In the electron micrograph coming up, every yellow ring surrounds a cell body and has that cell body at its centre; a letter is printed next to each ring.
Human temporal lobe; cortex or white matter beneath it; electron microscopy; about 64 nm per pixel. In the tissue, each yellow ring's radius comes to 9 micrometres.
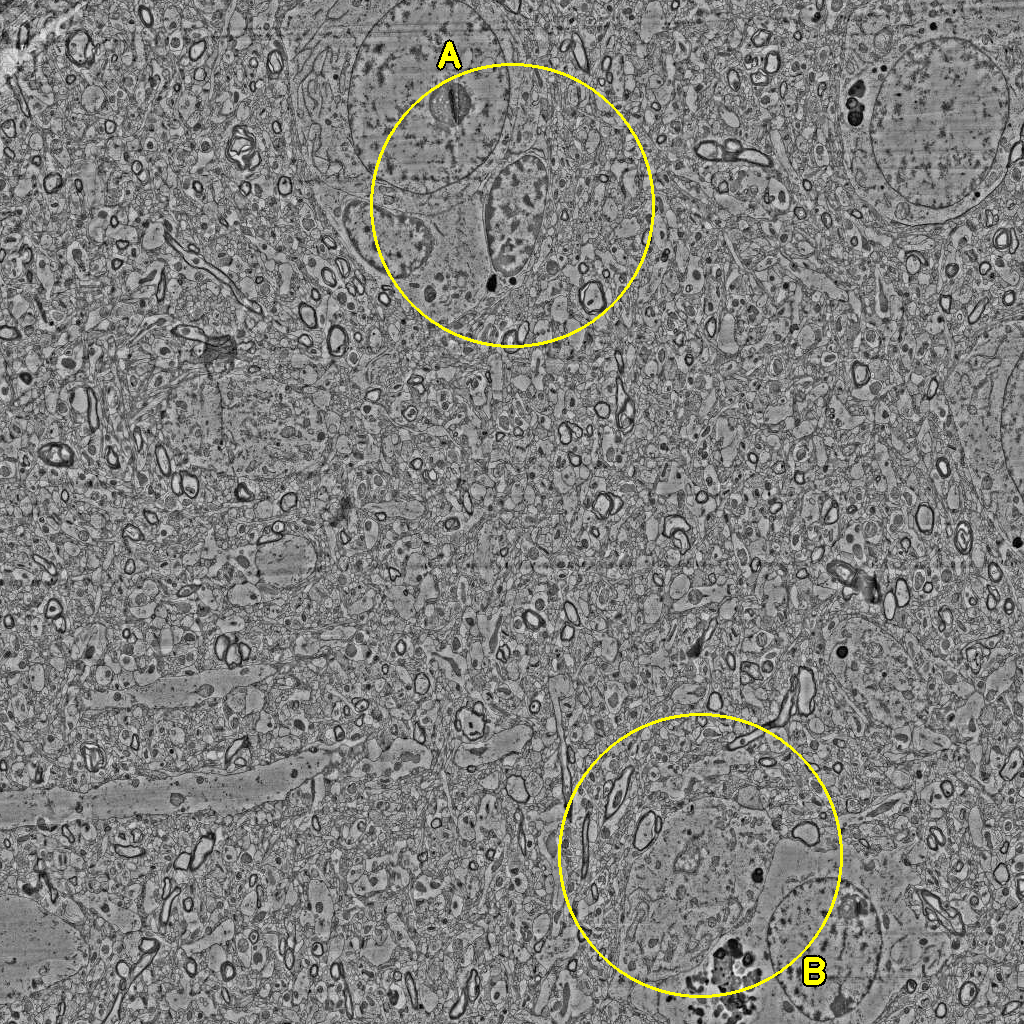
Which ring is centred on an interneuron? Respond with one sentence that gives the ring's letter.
Ring B is the one whose centre sits on the cell asked for in the picture.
